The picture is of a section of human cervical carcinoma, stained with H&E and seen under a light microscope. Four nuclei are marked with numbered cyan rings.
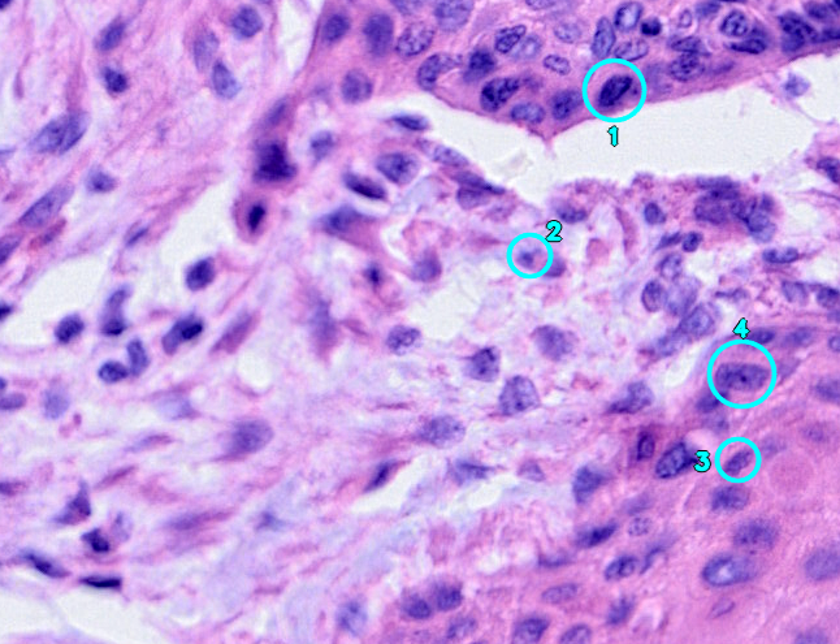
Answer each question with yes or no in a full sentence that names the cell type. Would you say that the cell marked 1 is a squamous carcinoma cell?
Yes, the cell that number 1 points to is a squamous carcinoma cell.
